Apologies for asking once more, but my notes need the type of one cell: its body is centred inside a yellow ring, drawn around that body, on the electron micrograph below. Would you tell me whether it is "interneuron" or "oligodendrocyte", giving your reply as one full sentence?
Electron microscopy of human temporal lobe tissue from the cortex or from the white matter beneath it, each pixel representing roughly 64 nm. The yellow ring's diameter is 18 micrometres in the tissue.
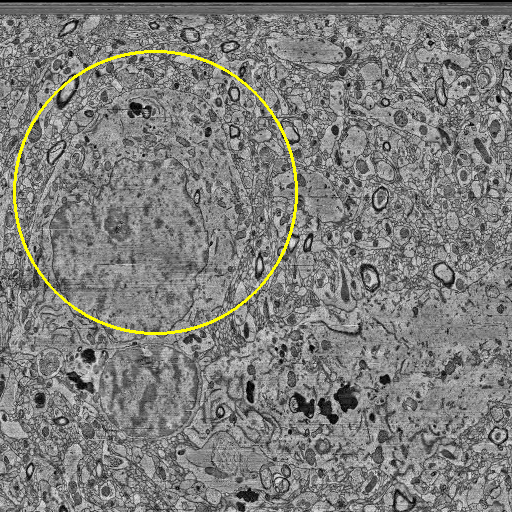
The cell that the yellow ring is centred on is an interneuron in this micrograph.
